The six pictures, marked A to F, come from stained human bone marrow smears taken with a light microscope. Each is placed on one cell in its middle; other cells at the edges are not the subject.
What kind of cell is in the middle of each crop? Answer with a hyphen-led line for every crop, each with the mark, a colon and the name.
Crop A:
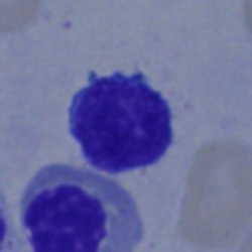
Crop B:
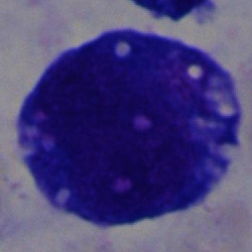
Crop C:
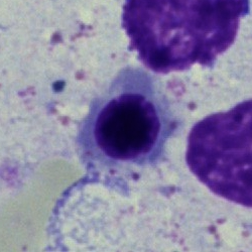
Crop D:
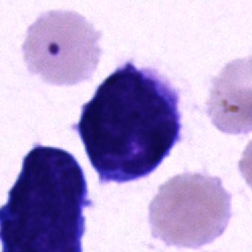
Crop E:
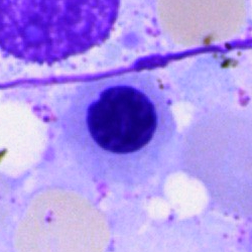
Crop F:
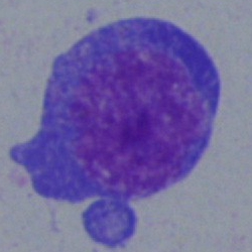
- A: lymphocyte
- B: blast
- C: erythroblast
- D: blast
- E: erythroblast
- F: blast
